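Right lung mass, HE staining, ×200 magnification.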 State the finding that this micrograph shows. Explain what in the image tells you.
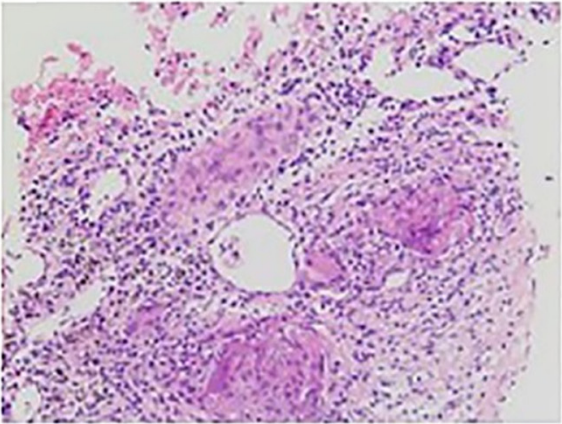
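Several rounded pale pink nodules of cells with ample eosinophilic cytoplasm. The nodules are surrounded by dense sheets of small dark round nuclei. That points to this answer: granulomatous inflammation.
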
